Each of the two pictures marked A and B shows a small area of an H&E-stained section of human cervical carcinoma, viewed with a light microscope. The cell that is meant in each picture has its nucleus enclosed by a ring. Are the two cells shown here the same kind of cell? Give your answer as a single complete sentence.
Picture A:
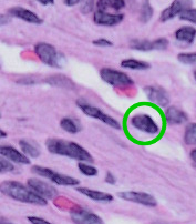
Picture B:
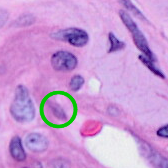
Yes, both cells are endothelial cells.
